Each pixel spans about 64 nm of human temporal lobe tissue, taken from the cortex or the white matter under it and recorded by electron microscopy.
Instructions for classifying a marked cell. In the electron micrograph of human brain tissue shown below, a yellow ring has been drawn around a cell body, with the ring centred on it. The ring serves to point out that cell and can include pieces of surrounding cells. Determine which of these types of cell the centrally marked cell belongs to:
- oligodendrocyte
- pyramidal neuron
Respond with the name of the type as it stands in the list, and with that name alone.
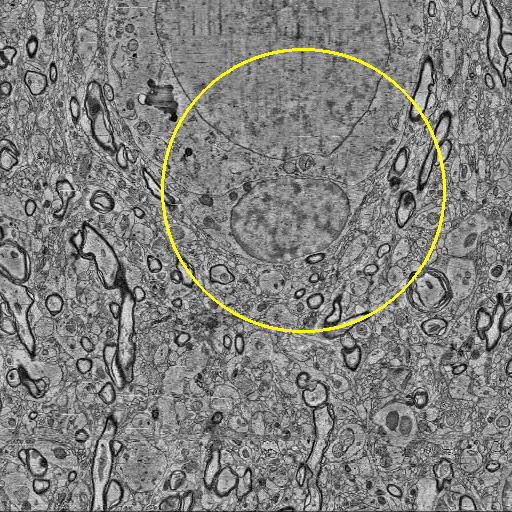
oligodendrocyte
